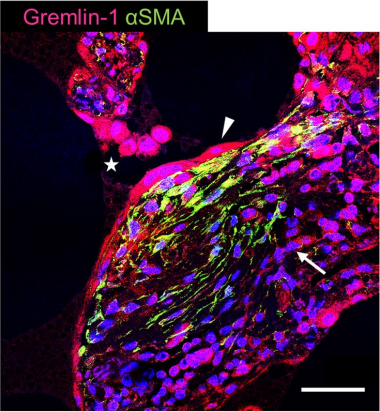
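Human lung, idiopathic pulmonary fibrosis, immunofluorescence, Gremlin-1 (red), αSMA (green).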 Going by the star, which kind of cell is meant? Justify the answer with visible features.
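Large rounded cells lie free in the airspace beside the star. The cells are clustered and have abundant red cytoplasm.
Hence: alveolar macrophages.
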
